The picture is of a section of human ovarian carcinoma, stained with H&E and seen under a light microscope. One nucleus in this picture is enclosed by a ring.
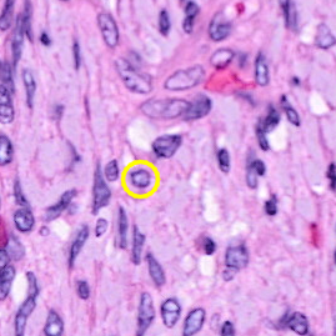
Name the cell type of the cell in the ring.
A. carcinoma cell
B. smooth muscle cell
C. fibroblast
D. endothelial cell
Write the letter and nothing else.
C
